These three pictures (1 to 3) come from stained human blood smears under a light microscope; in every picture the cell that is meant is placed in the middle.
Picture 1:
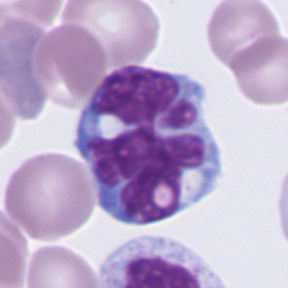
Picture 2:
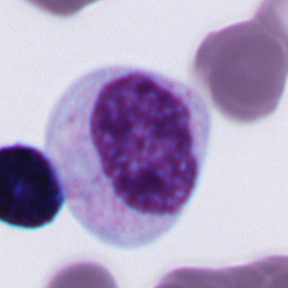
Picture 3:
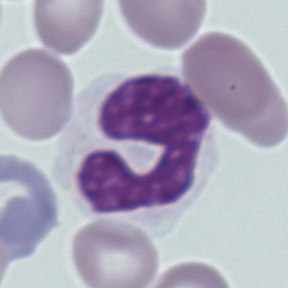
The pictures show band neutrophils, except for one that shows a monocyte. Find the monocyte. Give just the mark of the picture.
1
